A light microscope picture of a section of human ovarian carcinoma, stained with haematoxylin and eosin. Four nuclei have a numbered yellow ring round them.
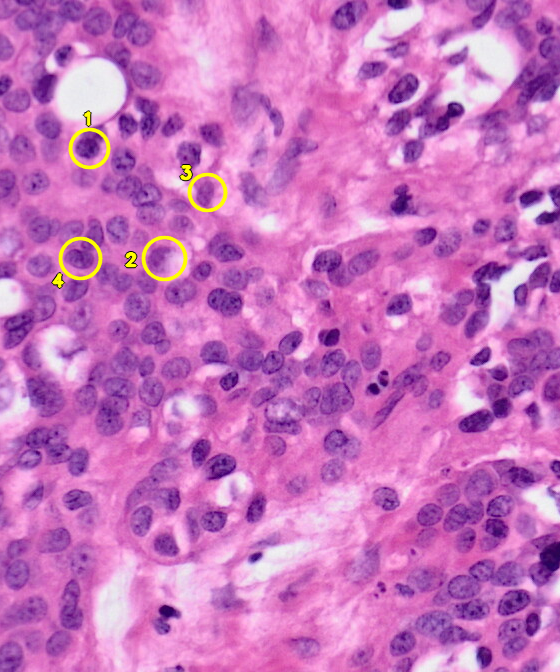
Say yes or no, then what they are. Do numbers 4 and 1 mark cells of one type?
No, listen: cell 4 is a carcinoma cell and cell 1 is a macrophage or monocyte.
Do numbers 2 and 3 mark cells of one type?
Yes, cell 2 and cell 3 are both carcinoma cells.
